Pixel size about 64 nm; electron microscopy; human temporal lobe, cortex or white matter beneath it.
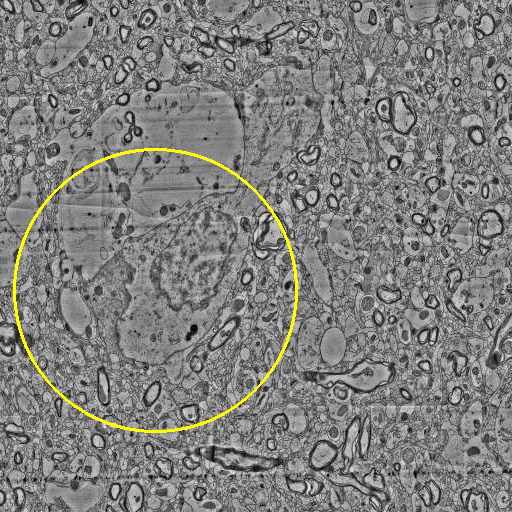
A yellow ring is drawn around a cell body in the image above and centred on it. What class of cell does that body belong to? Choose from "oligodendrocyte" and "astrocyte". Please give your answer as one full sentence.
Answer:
The yellow ring above is centred on the cell body of an oligodendrocyte.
